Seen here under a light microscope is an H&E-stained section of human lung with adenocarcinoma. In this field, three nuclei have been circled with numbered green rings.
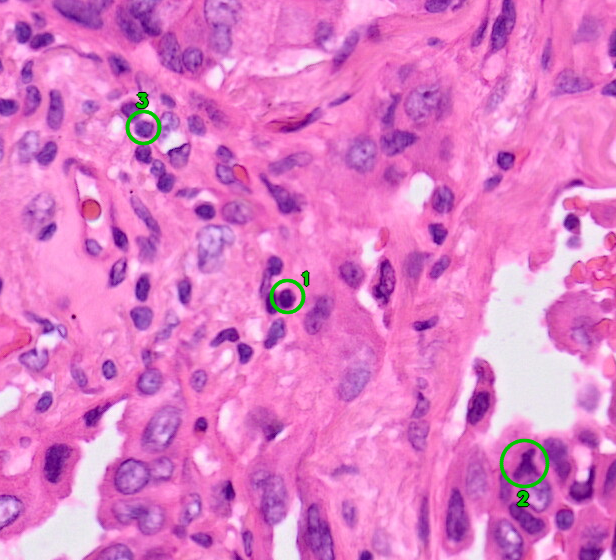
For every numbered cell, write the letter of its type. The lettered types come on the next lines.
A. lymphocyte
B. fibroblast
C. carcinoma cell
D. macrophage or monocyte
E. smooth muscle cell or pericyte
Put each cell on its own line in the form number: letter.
1: A
2: C
3: A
